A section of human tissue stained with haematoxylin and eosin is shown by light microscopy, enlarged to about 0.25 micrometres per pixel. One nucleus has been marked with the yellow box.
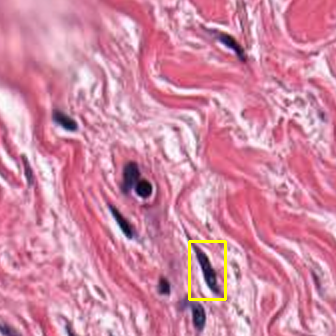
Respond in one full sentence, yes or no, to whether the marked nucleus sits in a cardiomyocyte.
No, the owner of the marked nucleus is a supporting cell, not a cardiomyocyte.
